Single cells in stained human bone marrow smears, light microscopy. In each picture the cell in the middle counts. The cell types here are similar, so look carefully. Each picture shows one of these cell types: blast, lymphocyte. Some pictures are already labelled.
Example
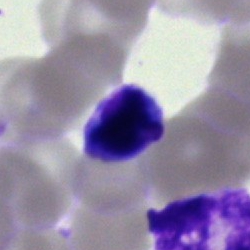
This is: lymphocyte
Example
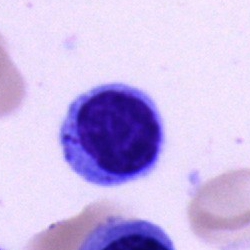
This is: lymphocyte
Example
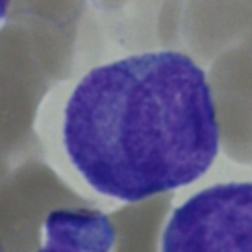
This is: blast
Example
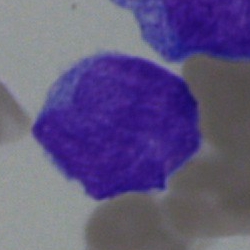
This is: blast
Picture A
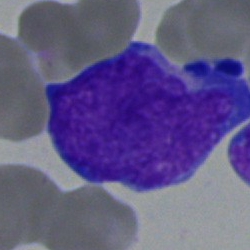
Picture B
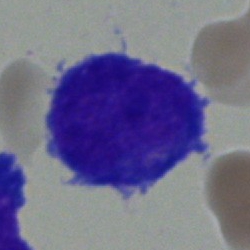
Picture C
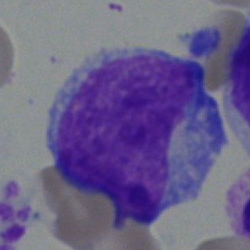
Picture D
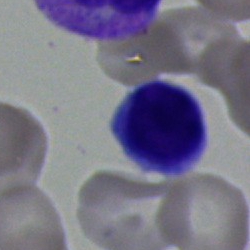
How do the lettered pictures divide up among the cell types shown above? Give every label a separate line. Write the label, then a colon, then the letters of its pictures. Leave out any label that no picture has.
blast: A, B, C
lymphocyte: D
